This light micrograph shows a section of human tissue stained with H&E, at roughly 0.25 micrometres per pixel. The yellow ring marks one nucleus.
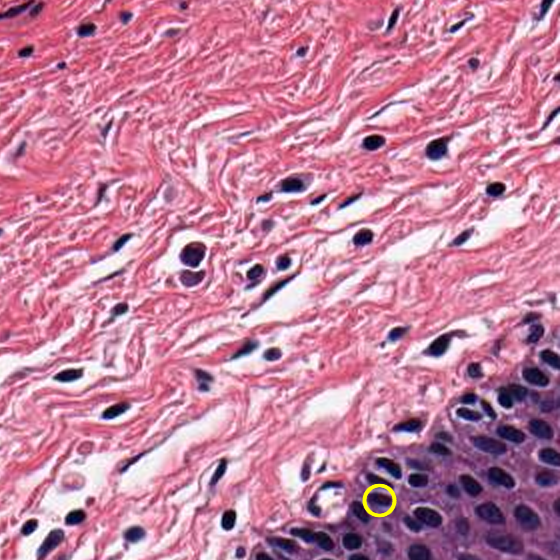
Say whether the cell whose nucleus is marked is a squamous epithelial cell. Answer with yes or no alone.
yes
